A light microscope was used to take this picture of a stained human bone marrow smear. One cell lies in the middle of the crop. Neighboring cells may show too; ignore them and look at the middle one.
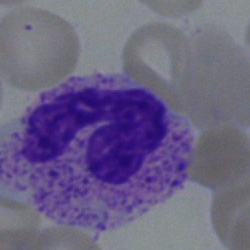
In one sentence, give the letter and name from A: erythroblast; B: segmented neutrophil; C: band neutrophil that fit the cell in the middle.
Identified correctly by option C, the cell in the middle is a band neutrophil.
